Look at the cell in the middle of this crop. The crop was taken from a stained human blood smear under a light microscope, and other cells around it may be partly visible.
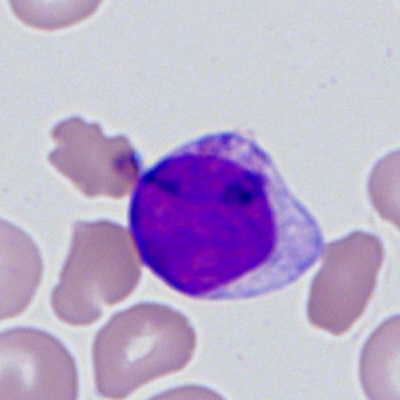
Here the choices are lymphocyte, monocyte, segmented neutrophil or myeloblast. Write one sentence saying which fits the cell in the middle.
Where the crop is centred, there is a lymphocyte.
